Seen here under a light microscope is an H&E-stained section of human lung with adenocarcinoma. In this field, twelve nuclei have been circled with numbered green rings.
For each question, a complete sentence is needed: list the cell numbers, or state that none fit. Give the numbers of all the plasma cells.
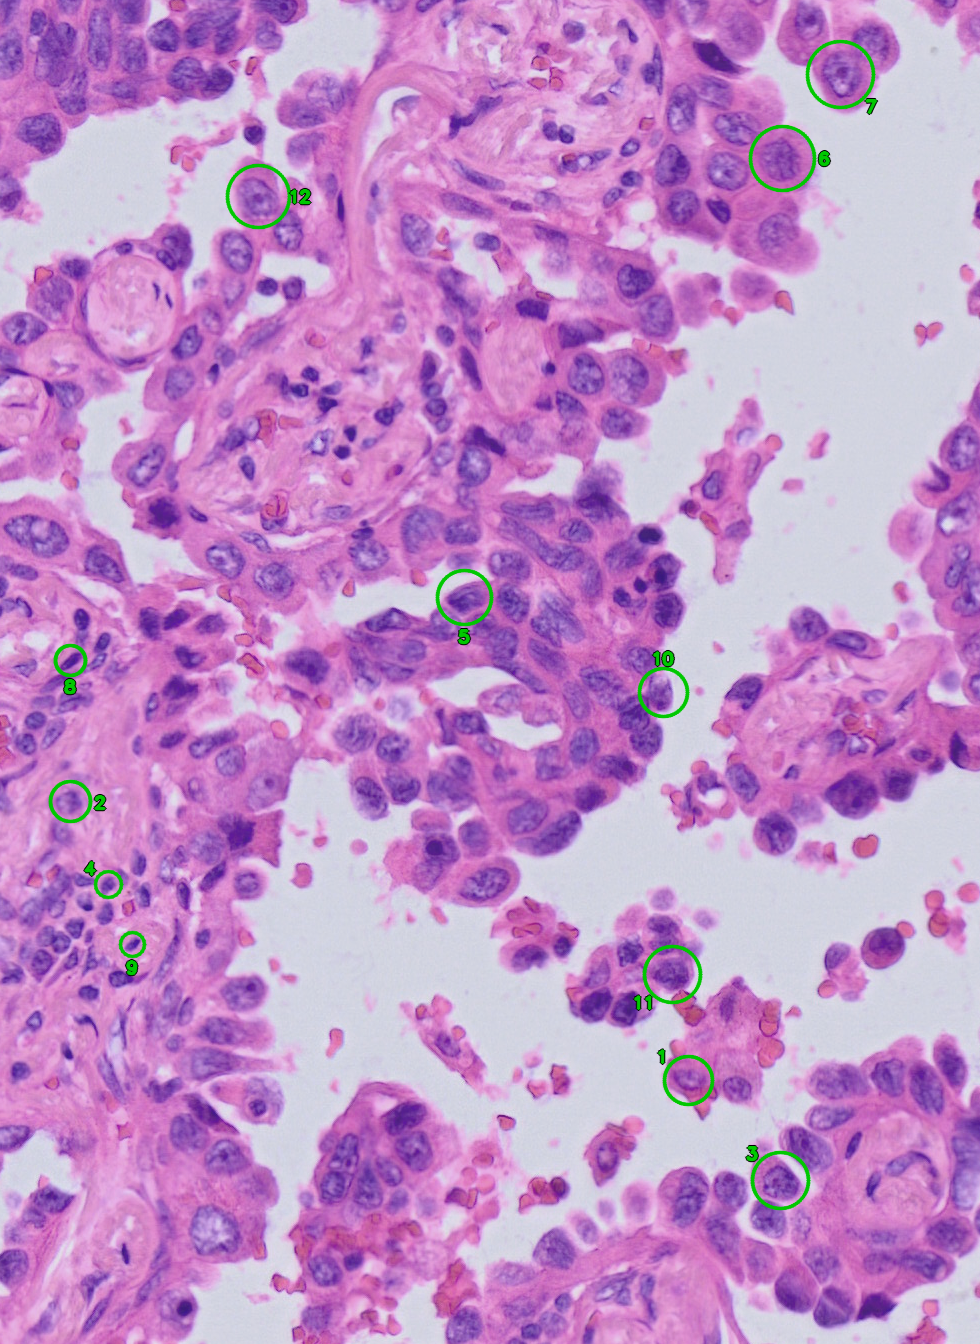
The cells numbered 2 and 8 fall into the category of plasma cells.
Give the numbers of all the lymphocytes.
The numbers 4 and 9 refer to cells that are lymphocytes.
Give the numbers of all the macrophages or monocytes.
The nucleus numbered 1 is the only one that belongs to a macrophage or monocyte.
